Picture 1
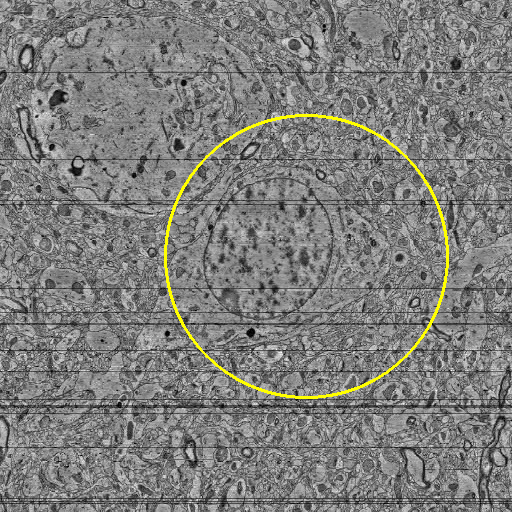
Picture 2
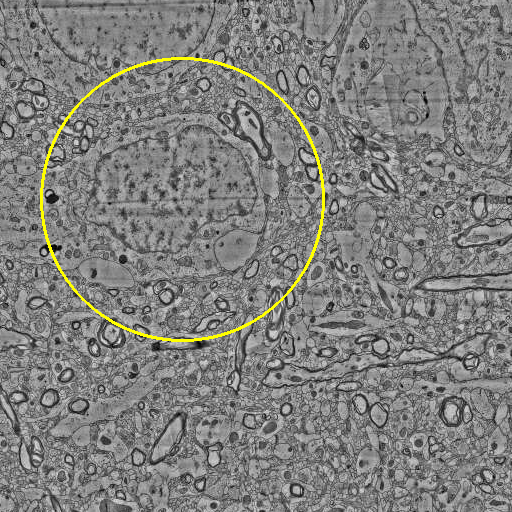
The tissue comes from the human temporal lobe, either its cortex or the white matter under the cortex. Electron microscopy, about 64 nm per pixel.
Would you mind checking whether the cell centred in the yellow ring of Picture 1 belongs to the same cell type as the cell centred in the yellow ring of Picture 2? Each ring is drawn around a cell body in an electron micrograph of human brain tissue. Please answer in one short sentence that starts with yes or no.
No, the two cells are of two types.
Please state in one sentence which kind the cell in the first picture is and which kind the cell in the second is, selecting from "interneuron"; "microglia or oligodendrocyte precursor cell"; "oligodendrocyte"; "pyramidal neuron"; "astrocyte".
The first ringed cell is a pyramidal neuron, the second ringed cell an interneuron.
